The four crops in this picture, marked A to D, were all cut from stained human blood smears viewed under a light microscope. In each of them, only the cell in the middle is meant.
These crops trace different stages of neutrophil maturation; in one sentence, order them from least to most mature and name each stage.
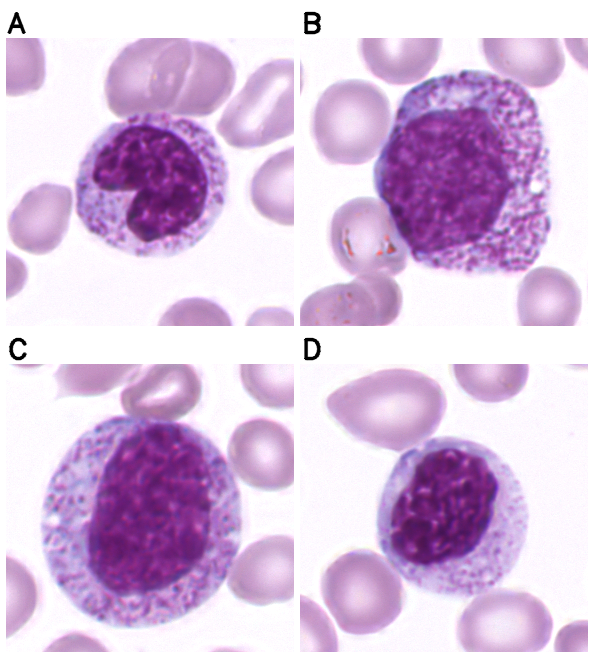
Starting with the least mature and ending with the most mature, the order is crop B (a promyelocyte), crop C (a myelocyte), crop D (a metamyelocyte) and crop A (a band neutrophil).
